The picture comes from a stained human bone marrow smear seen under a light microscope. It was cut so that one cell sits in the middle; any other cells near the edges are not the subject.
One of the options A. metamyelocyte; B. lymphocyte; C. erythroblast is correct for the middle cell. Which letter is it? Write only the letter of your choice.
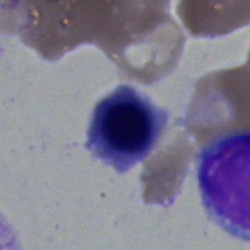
C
